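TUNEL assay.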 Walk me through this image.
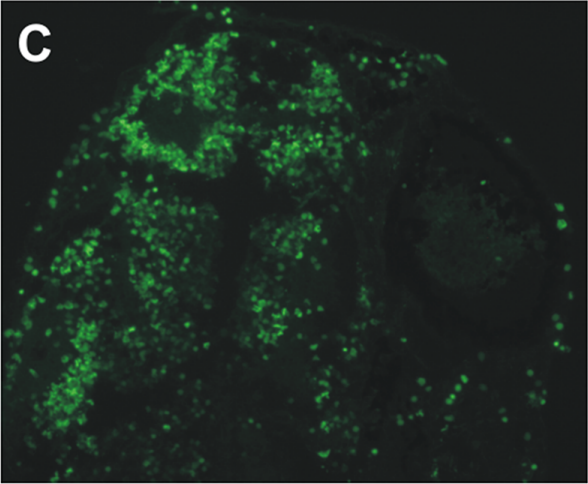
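This is a section through the head, with brain tissue filling most of the field and part of an eye with its lens at the right. Very many small, bright green rounded nuclei are packed in dense clusters within the brain tissue, outlining regions around darker spaces. Further bright nuclei are scattered along the surface of the head and around the edge of the eye, while the lens shows only faint diffuse fluorescence.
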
